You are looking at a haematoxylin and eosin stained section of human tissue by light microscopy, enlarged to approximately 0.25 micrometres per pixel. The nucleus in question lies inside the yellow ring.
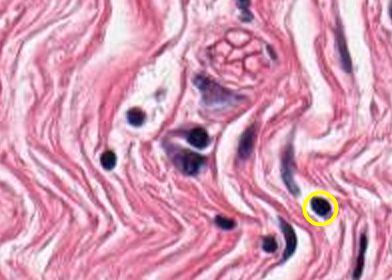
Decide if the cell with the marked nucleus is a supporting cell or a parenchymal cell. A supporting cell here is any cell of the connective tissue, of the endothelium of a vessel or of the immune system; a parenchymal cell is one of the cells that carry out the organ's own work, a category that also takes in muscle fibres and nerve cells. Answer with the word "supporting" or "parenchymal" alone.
supporting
